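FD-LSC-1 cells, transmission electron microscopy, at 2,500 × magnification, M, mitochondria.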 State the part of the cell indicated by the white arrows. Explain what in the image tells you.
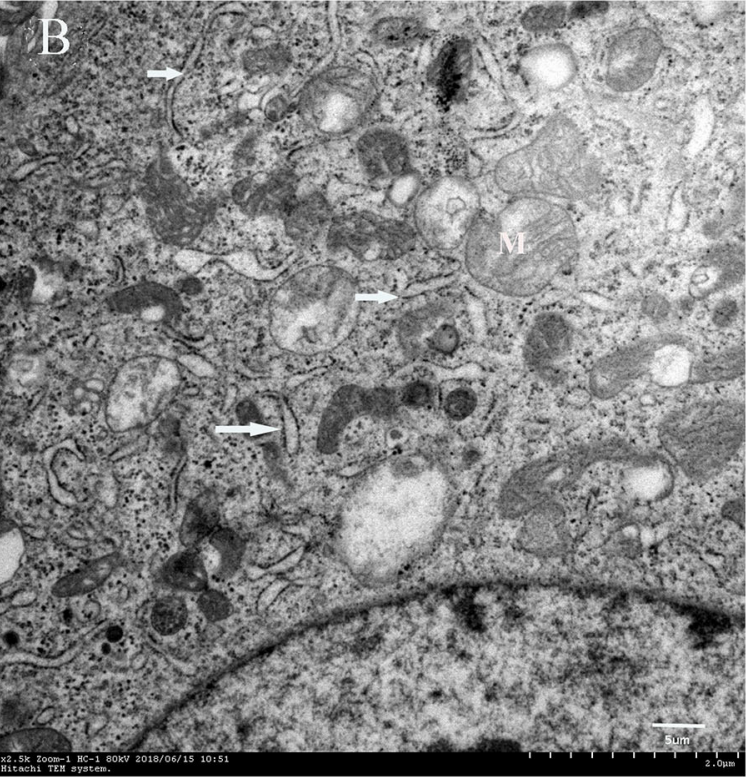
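Endoplasmic reticulum. The arrows point to long, thin, membrane-bounded tubular profiles in the cytoplasm. These profiles are narrower than the nearby mitochondria and lack cristae. Similar elongated membrane profiles are scattered among the mitochondria.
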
